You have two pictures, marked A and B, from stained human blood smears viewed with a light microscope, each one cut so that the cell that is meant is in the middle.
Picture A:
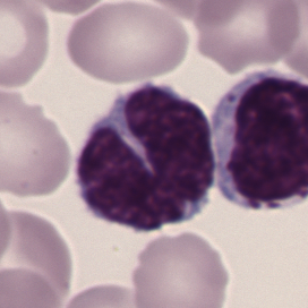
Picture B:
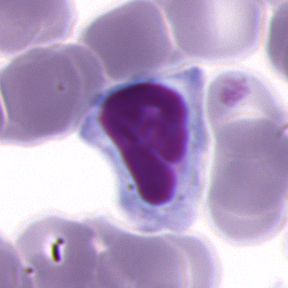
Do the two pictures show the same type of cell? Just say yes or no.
yes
